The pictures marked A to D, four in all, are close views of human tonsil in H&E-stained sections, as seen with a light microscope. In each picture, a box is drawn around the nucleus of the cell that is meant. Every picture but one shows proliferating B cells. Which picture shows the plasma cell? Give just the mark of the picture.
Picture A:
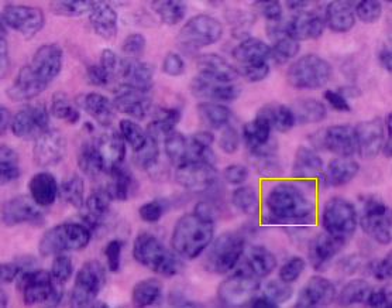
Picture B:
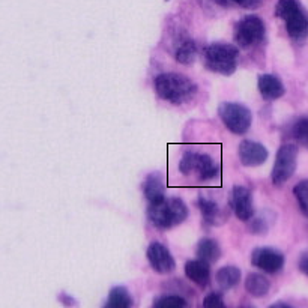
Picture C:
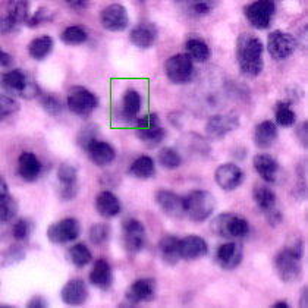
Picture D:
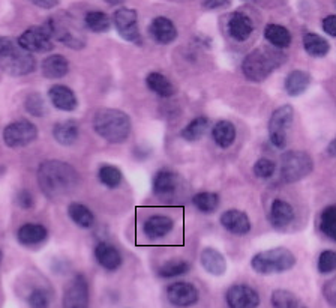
D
